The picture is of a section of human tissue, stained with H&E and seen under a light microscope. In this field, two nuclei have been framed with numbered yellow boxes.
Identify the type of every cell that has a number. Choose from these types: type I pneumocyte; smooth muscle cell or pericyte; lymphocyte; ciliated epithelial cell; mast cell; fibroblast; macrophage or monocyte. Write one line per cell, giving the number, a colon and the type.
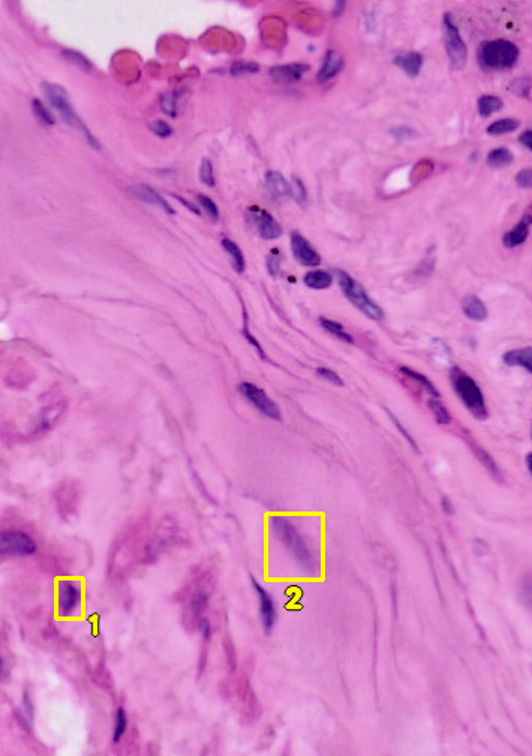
1: smooth muscle cell or pericyte
2: fibroblast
